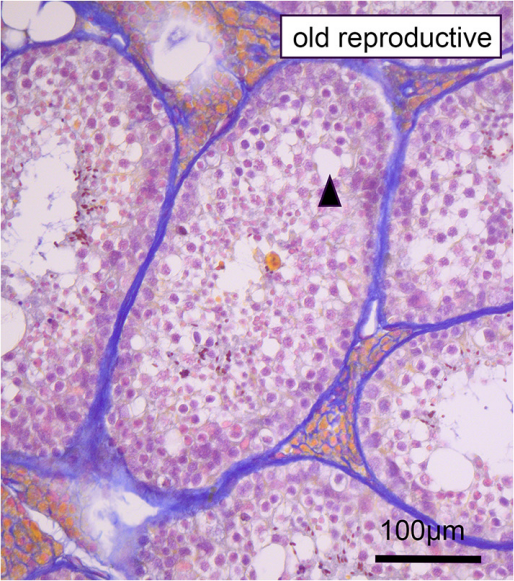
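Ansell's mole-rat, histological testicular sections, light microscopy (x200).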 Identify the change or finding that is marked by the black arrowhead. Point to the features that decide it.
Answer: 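The arrowhead points to small clear empty spaces among the cells of a tubule. Many such clear spaces are scattered through the tubule's cell layer.
Answer: vacuolar degenerations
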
